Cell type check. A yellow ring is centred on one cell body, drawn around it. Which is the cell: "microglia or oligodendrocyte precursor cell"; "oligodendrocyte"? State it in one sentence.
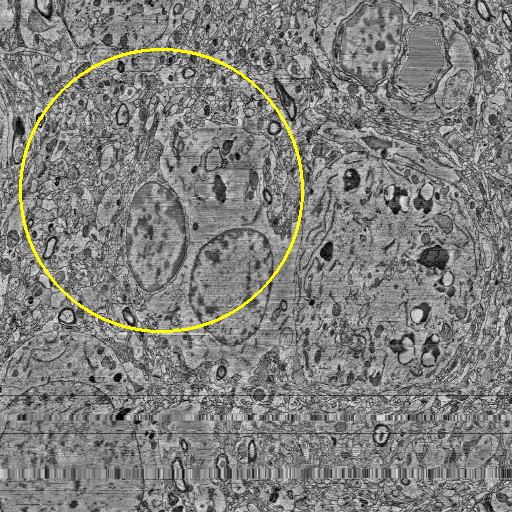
The cell body at the ring's centre belongs to a microglial cell or oligodendrocyte precursor cell.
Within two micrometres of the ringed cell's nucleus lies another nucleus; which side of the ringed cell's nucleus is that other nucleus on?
The other one is to the lower right of it.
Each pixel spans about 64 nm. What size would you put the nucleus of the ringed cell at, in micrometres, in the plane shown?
About 7 by 4 micrometres; in this plane the nucleus is clearly longer than it is wide.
